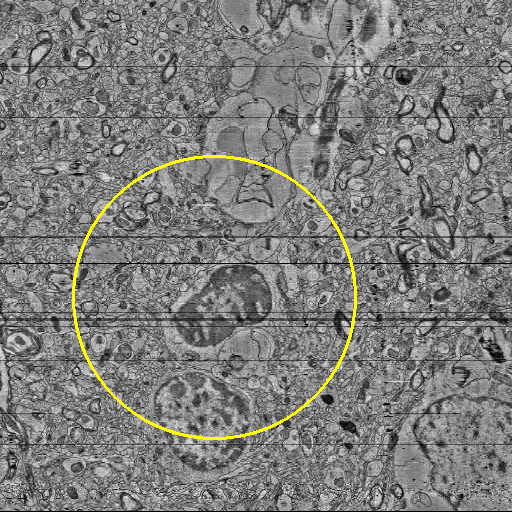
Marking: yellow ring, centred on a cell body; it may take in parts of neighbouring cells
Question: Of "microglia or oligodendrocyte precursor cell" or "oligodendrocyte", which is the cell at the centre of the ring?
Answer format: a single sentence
The ring surrounds the body of a microglial cell or oligodendrocyte precursor cell.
